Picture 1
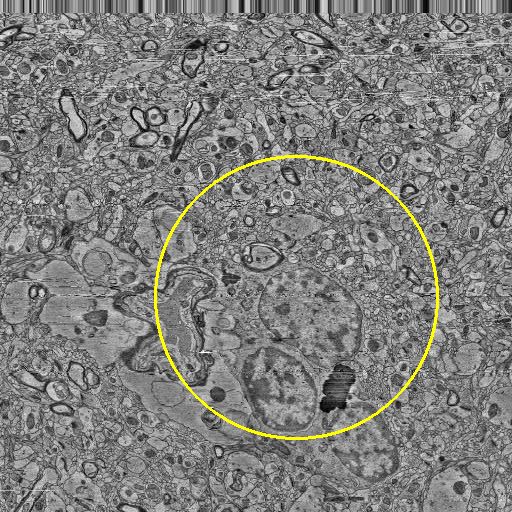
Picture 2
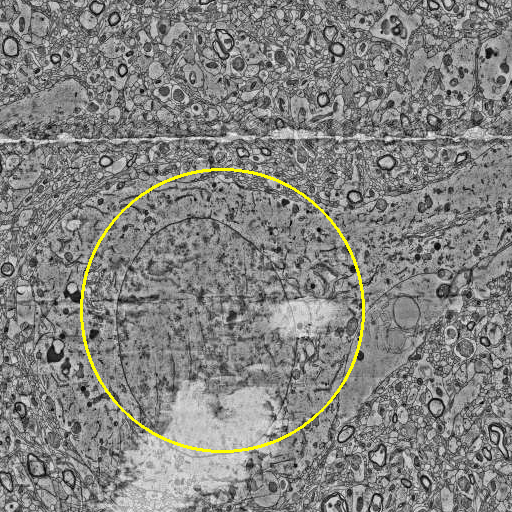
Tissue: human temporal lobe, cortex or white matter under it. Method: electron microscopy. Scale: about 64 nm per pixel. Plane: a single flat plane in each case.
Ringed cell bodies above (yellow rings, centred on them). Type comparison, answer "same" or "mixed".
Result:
mixed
